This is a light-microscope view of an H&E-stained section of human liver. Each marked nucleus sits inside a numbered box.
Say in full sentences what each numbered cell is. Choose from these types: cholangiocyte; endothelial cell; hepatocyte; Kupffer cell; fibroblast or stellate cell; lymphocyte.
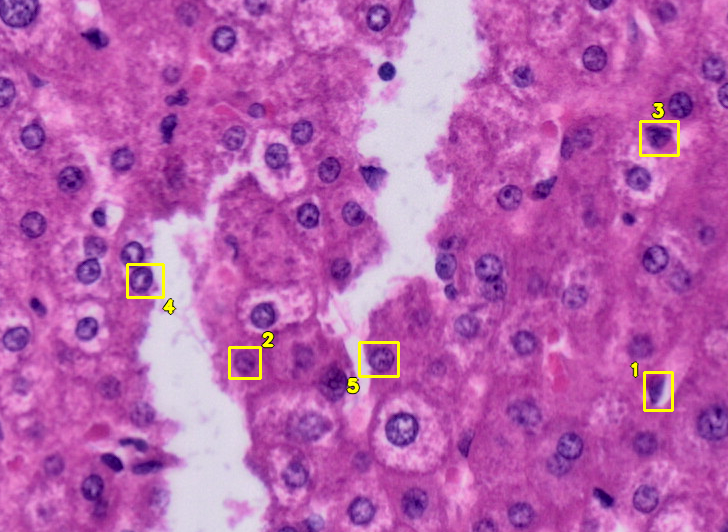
Cells 1 and 3 are endothelial cells. Cells 2, 4 and 5 are hepatocytes.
